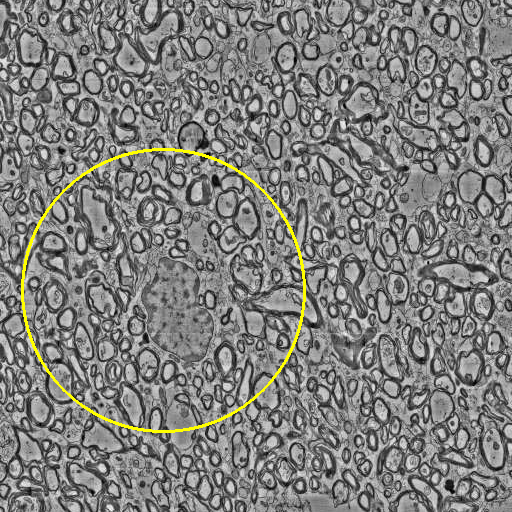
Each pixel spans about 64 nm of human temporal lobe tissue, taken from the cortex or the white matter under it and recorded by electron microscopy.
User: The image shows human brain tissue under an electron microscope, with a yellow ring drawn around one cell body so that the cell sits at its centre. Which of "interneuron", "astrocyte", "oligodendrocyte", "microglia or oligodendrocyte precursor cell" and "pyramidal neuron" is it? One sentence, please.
At the centre of the ring sits a microglial cell or oligodendrocyte precursor cell.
